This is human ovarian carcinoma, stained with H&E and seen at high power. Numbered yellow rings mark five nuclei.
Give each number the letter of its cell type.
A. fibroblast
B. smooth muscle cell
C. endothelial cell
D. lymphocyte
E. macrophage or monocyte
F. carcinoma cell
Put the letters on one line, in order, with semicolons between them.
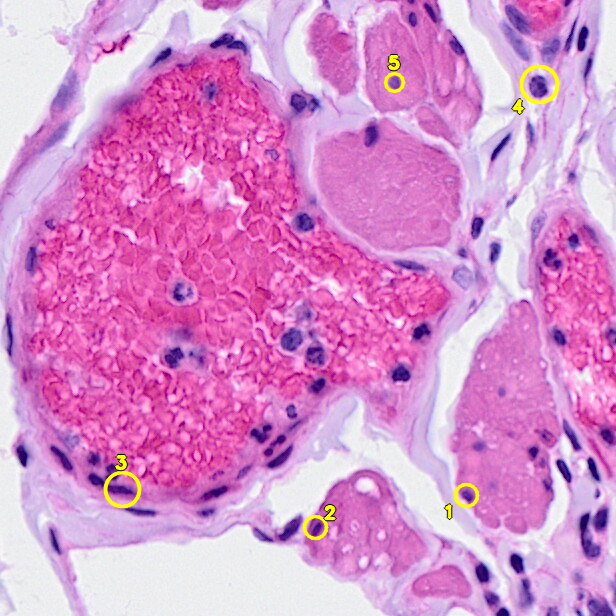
B; B; C; D; B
